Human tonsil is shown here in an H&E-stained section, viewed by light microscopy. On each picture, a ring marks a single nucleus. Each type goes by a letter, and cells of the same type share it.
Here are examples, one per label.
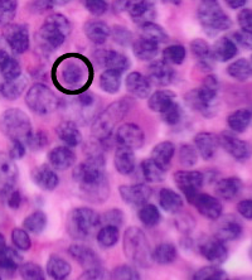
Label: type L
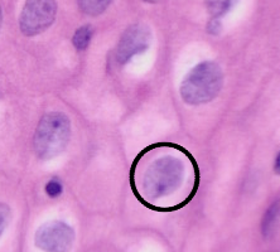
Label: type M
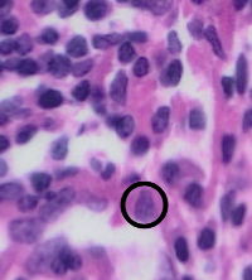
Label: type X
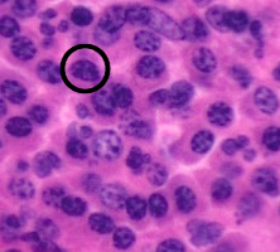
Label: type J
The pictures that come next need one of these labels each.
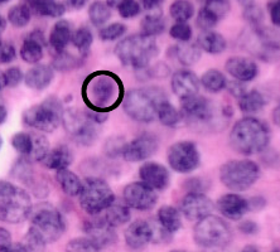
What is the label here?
type L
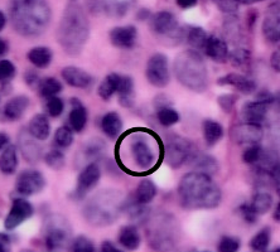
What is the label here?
type L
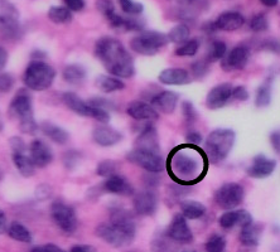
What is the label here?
type L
